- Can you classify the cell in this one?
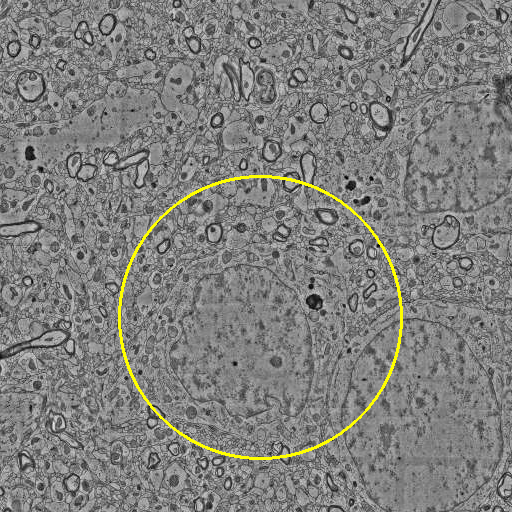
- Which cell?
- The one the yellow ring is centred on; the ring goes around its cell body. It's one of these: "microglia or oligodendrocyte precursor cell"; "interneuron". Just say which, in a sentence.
The cell body in the ring belongs to an interneuron.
